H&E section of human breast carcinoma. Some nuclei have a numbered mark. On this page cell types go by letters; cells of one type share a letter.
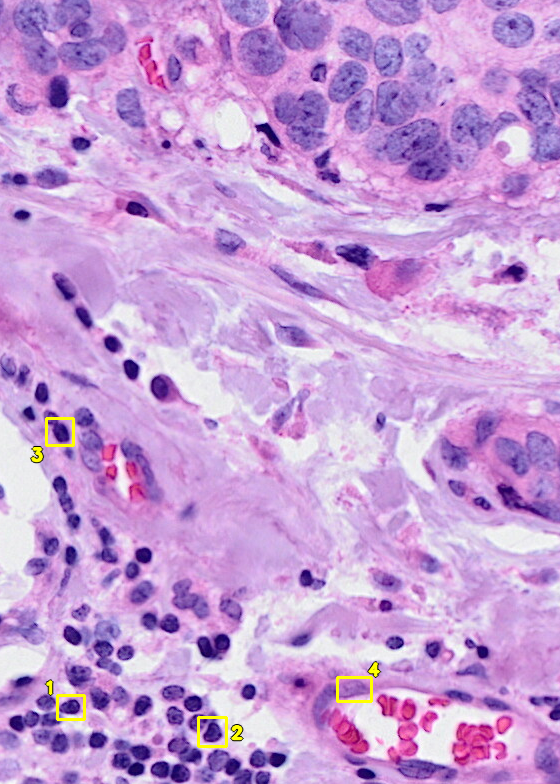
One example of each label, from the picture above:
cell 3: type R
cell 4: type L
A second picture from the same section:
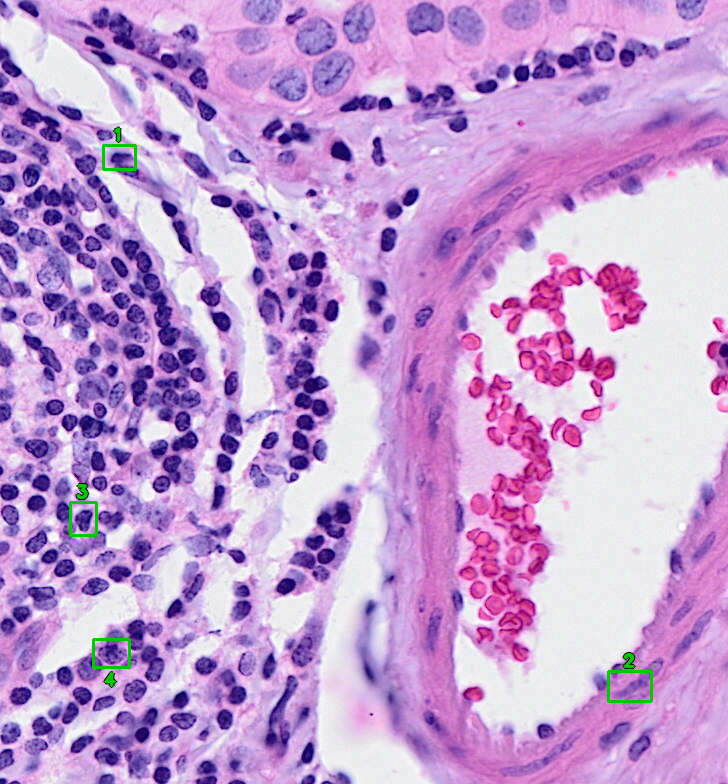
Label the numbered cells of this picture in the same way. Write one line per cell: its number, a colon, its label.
1: type R
2: type L
3: type R
4: type R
